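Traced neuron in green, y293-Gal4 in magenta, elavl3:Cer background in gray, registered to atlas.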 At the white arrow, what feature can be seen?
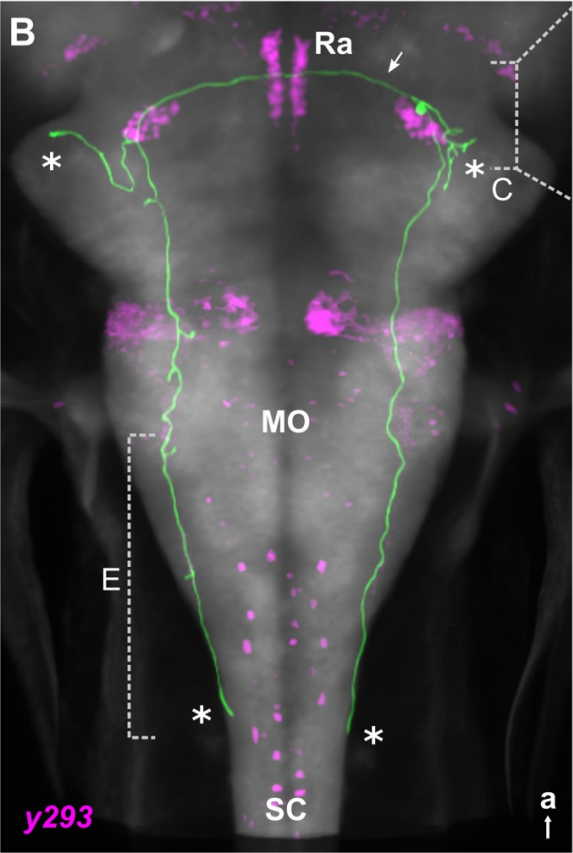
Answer: Commissural projection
